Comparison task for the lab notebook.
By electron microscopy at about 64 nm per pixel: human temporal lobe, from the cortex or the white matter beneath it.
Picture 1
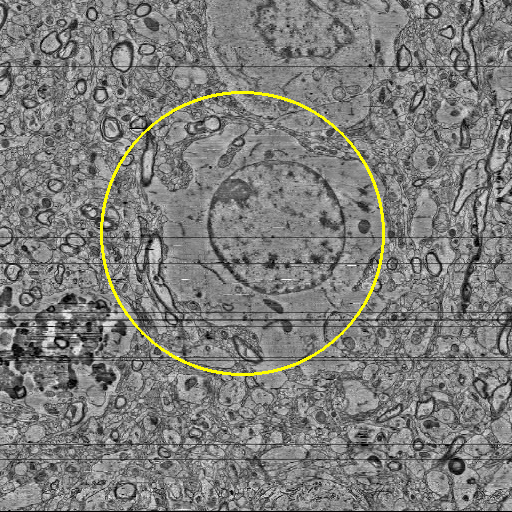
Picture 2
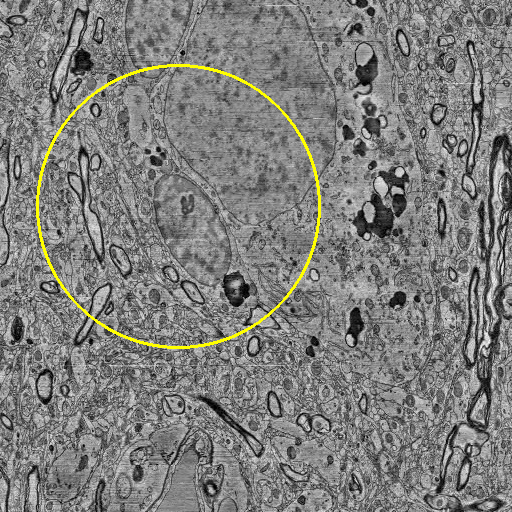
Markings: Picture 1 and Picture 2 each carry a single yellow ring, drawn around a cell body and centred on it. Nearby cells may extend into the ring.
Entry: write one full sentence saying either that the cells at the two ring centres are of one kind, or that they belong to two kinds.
The cells sitting at the ring centres in Picture 1 and Picture 2 belong to two kinds.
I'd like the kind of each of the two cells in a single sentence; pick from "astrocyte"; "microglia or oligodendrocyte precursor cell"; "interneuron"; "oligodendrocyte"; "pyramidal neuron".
The first ring marks an astrocyte, and the second ring marks an oligodendrocyte.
